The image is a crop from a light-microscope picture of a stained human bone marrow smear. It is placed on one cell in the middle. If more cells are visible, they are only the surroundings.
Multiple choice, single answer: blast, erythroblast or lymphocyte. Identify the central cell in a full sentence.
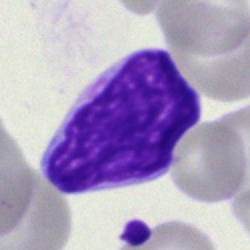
The middle of this crop is occupied by a blast.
